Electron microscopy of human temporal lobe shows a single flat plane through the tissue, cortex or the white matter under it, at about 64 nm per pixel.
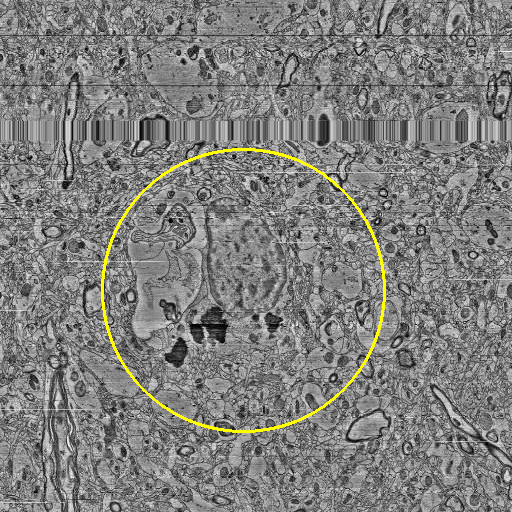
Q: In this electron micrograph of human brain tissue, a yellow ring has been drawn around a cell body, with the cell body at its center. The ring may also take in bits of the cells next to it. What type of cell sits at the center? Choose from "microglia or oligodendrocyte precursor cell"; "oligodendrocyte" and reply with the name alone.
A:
oligodendrocyte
